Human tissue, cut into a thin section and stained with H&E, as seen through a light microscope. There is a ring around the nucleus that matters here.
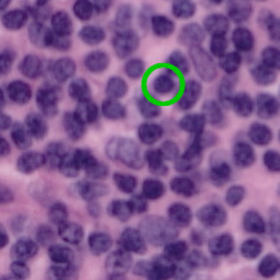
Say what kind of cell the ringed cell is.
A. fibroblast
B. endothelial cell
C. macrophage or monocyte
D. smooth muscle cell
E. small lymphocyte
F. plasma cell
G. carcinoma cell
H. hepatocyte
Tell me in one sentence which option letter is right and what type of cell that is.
It is option E that is correct, the ringed cell being a small lymphocyte.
